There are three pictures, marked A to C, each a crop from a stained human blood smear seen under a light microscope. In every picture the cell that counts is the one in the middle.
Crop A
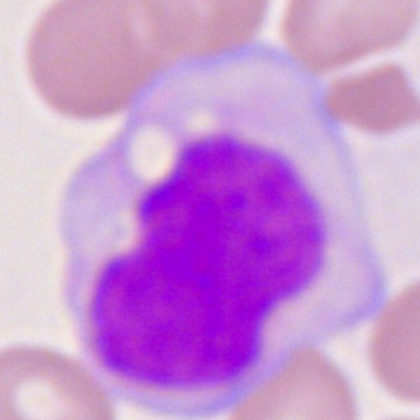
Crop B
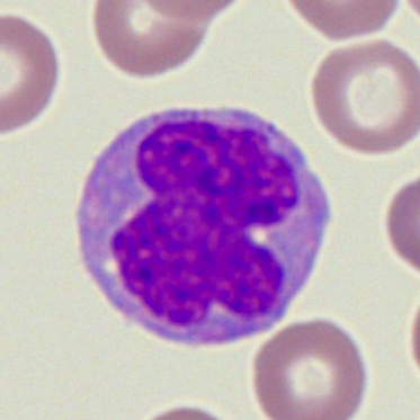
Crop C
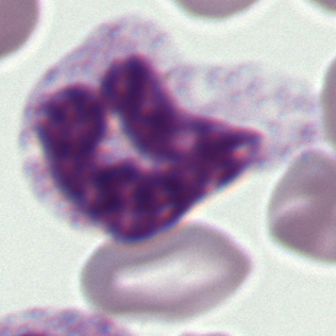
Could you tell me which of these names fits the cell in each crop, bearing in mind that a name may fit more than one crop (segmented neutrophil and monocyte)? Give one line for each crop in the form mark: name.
A: monocyte
B: monocyte
C: segmented neutrophil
